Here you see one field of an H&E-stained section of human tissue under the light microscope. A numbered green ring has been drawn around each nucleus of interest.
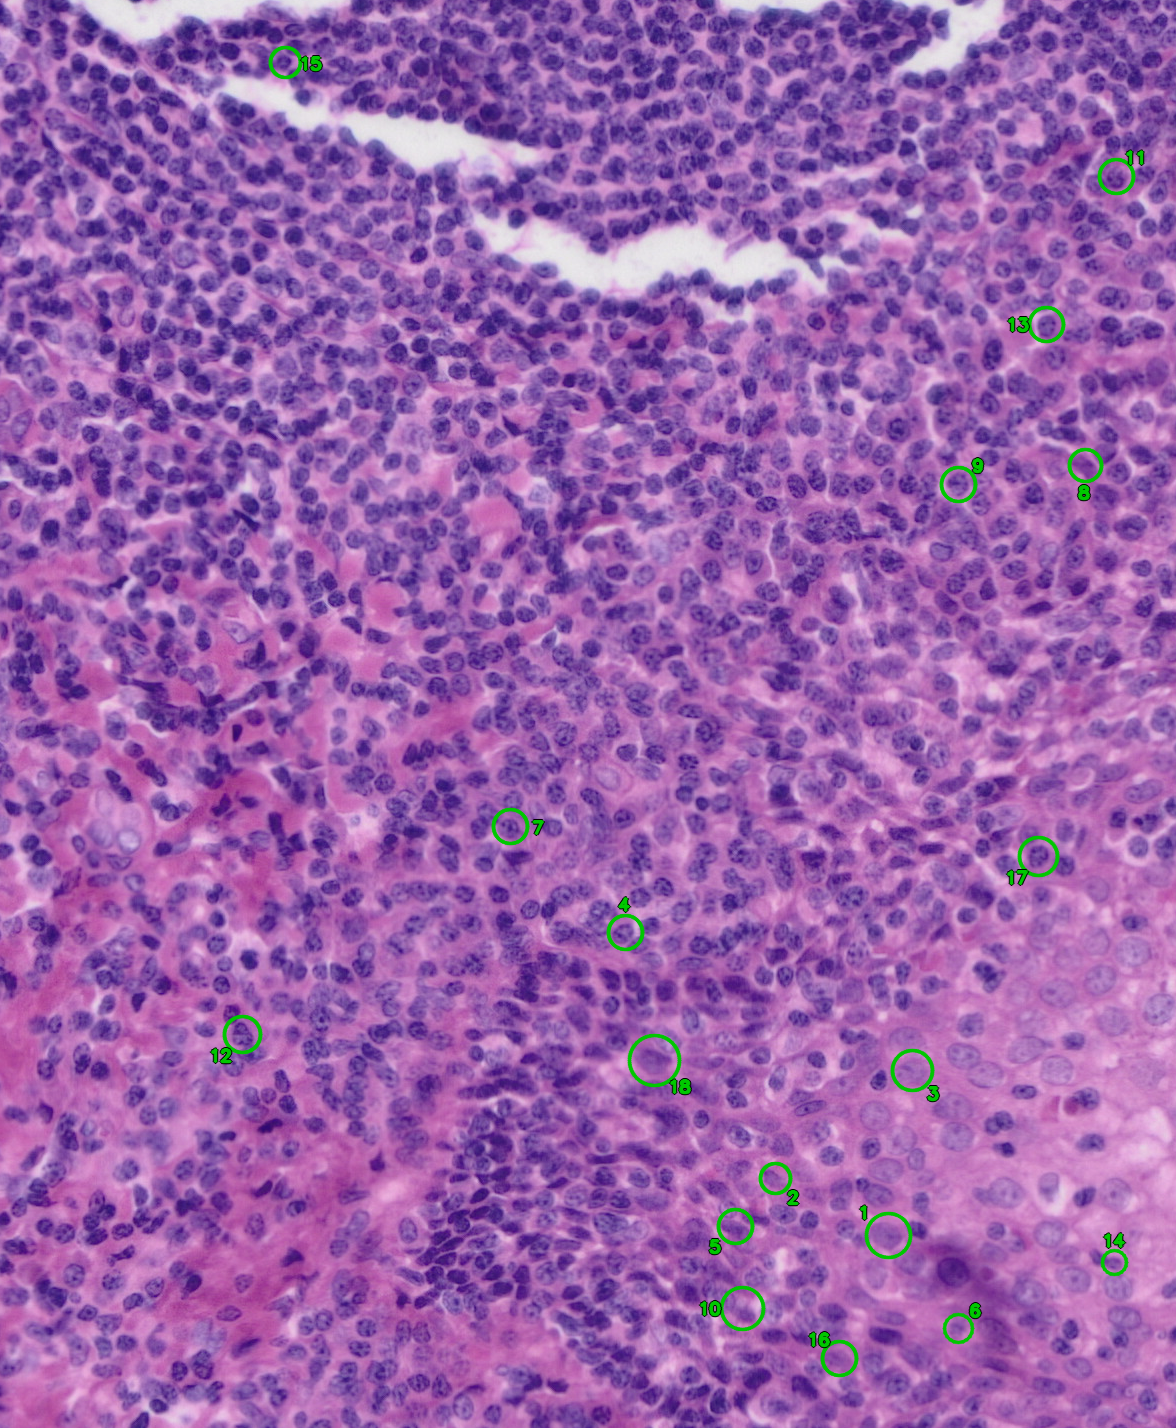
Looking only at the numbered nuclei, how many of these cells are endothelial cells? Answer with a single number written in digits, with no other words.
0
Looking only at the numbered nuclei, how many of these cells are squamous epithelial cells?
10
